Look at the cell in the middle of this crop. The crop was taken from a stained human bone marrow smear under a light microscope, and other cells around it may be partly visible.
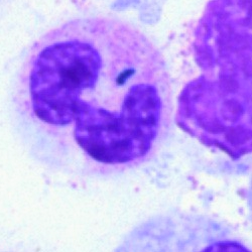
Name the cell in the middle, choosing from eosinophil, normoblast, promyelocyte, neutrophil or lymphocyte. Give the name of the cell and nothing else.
neutrophil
